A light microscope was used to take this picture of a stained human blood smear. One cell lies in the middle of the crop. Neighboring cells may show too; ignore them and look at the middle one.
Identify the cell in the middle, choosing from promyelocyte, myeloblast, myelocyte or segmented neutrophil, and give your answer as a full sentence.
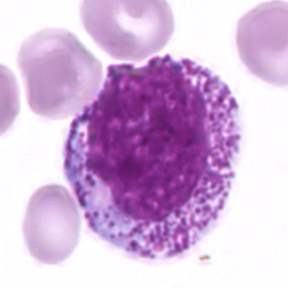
The cell shown in the center of this light-microscope crop is a myelocyte.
